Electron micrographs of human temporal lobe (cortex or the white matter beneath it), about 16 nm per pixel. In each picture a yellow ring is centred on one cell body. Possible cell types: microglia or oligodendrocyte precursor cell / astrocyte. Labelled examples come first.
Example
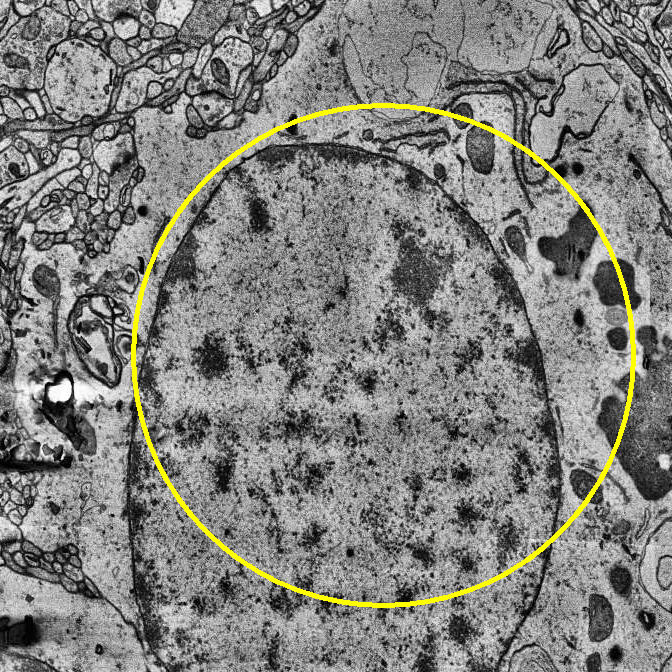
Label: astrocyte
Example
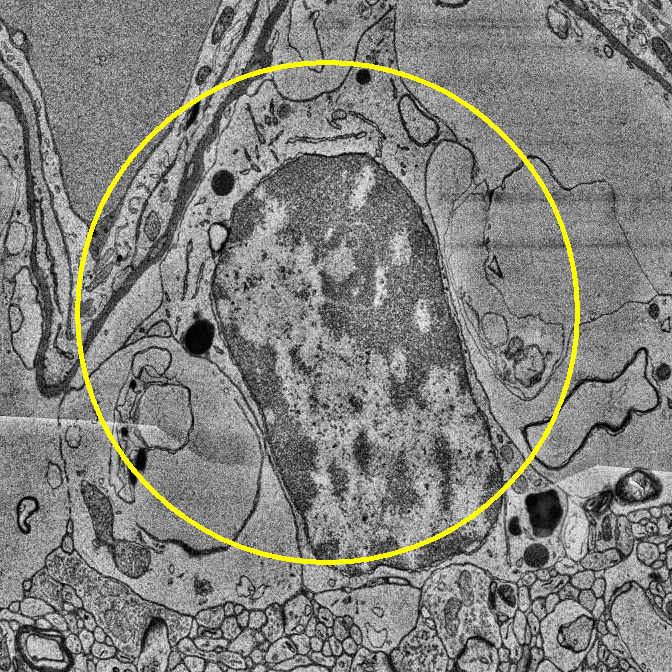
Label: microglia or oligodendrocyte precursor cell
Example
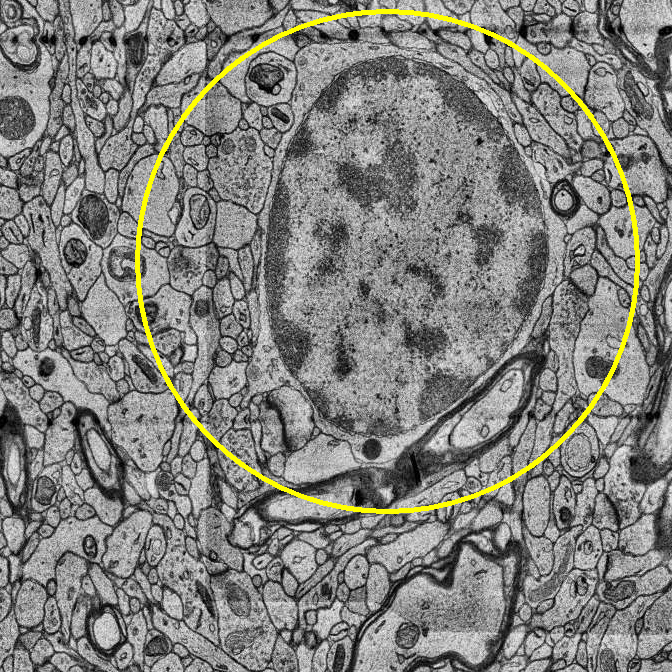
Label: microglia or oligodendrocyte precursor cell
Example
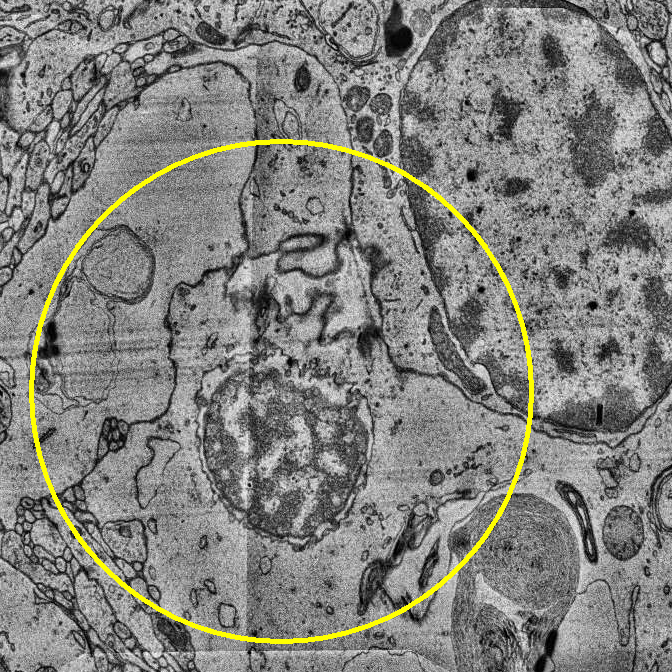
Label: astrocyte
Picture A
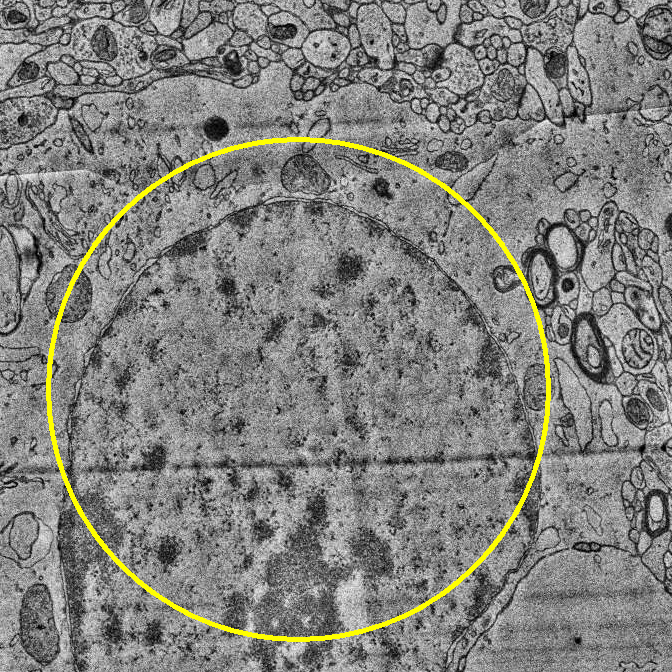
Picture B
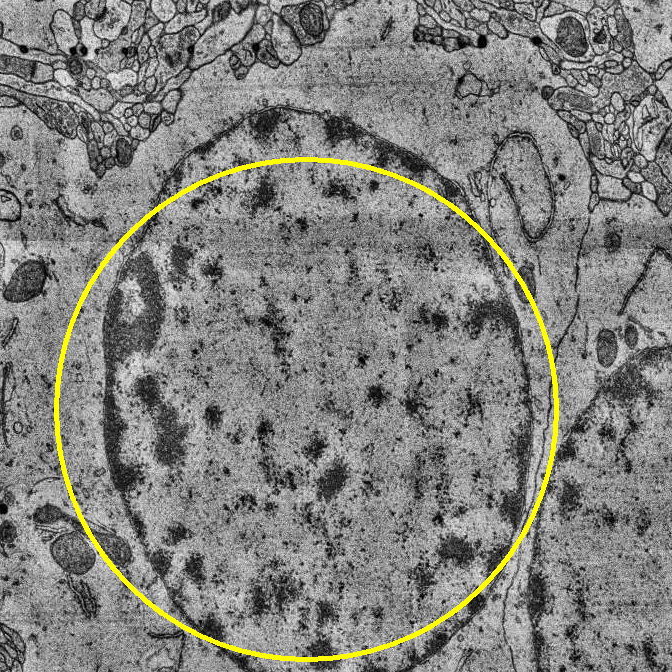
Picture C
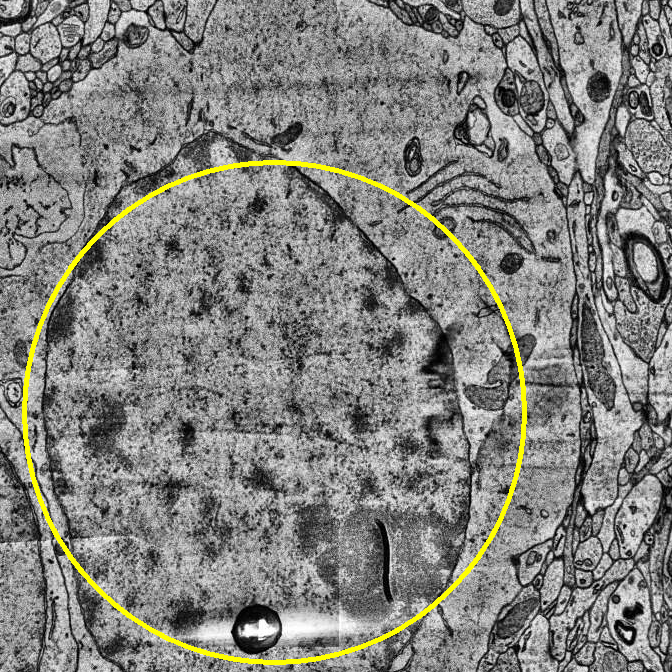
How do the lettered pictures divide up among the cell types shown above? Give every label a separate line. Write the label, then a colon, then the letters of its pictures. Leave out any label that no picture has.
astrocyte: A, B, C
